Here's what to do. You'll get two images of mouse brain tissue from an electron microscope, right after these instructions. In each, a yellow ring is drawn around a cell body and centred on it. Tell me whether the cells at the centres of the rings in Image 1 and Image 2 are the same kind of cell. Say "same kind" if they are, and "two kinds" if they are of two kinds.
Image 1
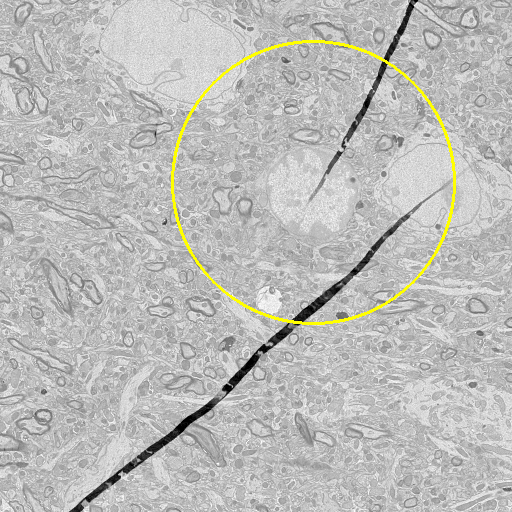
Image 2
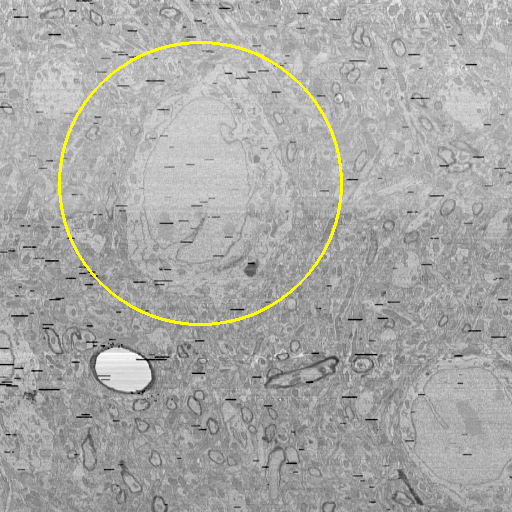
two kinds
